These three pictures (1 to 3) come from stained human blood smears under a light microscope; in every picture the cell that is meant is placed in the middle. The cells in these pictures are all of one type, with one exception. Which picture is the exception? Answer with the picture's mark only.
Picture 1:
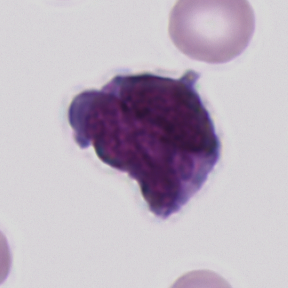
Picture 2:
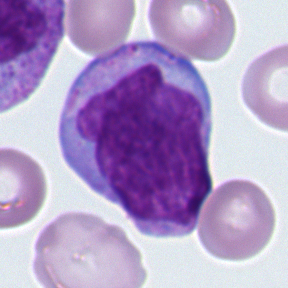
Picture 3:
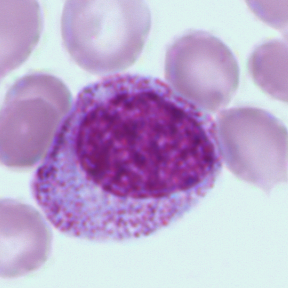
3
